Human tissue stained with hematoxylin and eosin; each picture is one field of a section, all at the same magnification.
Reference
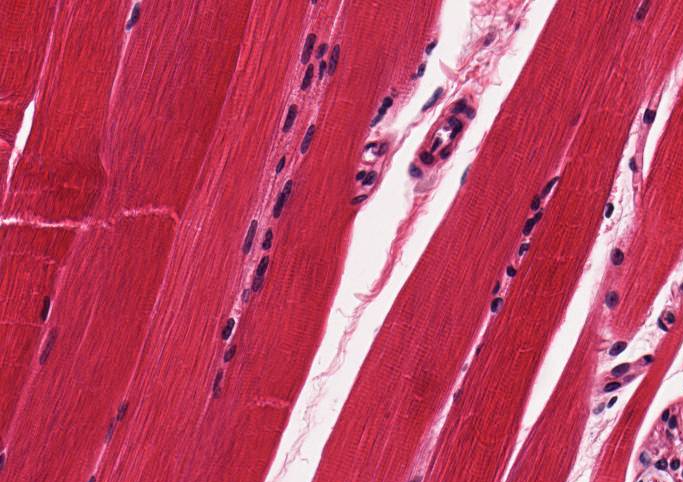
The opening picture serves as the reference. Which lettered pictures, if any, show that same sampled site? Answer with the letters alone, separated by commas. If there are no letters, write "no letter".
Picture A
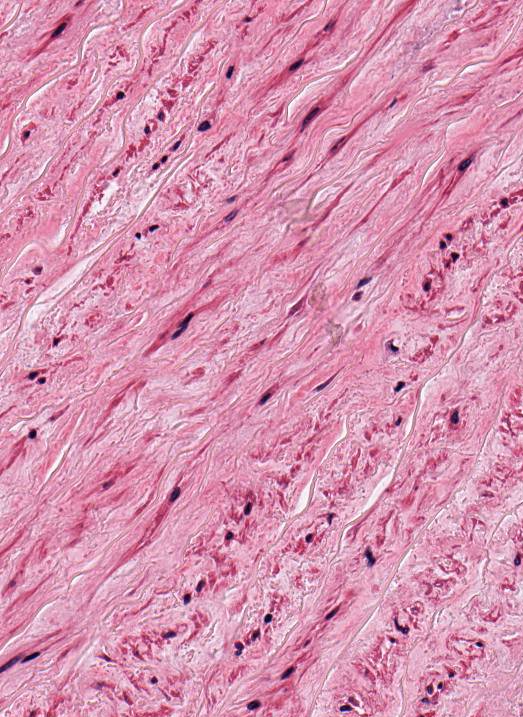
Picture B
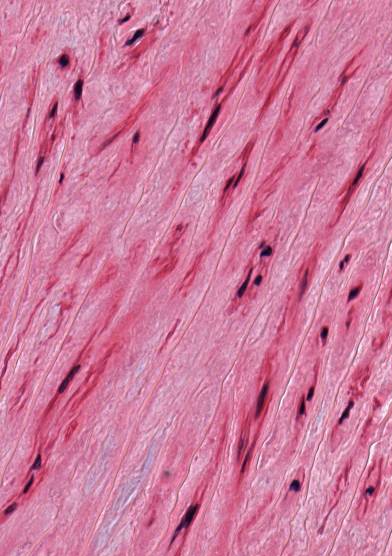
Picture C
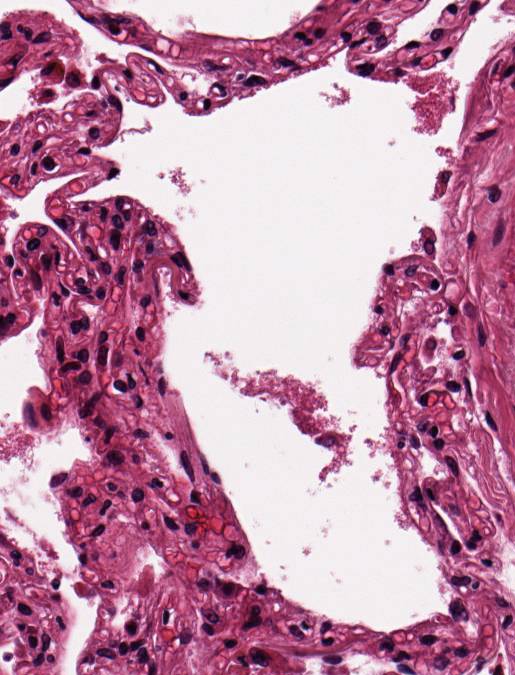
no letter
